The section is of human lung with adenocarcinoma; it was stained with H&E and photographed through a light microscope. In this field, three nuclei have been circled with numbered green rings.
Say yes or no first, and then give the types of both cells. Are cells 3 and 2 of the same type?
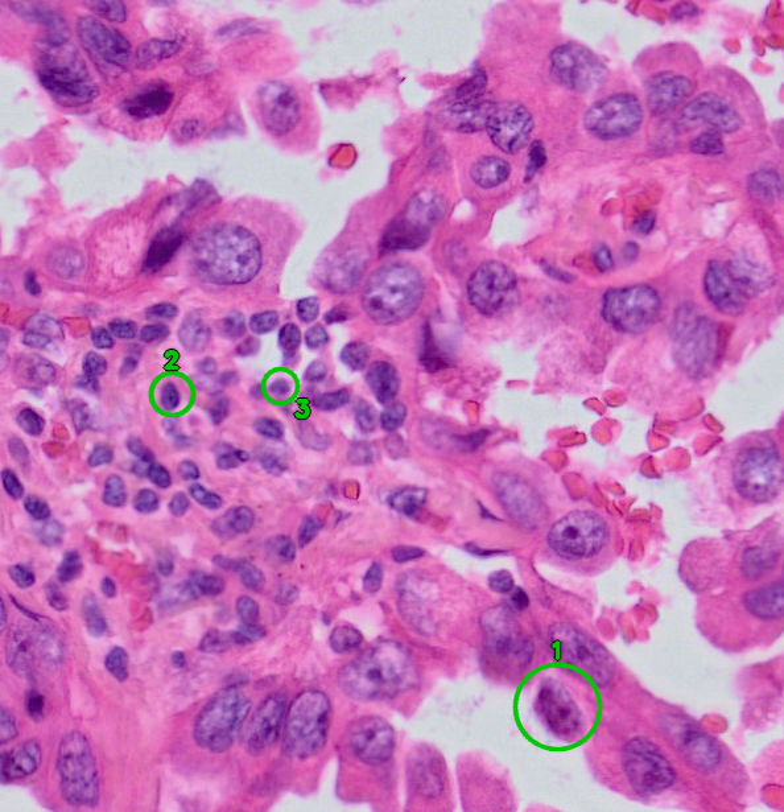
Yes, cells 3 and 2 are both counted as lymphocytes.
